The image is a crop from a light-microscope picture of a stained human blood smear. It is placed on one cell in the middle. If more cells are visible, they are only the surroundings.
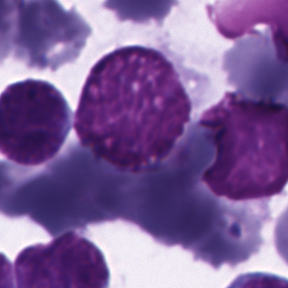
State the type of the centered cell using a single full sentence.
Standing at the centre of this crop is a blast.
